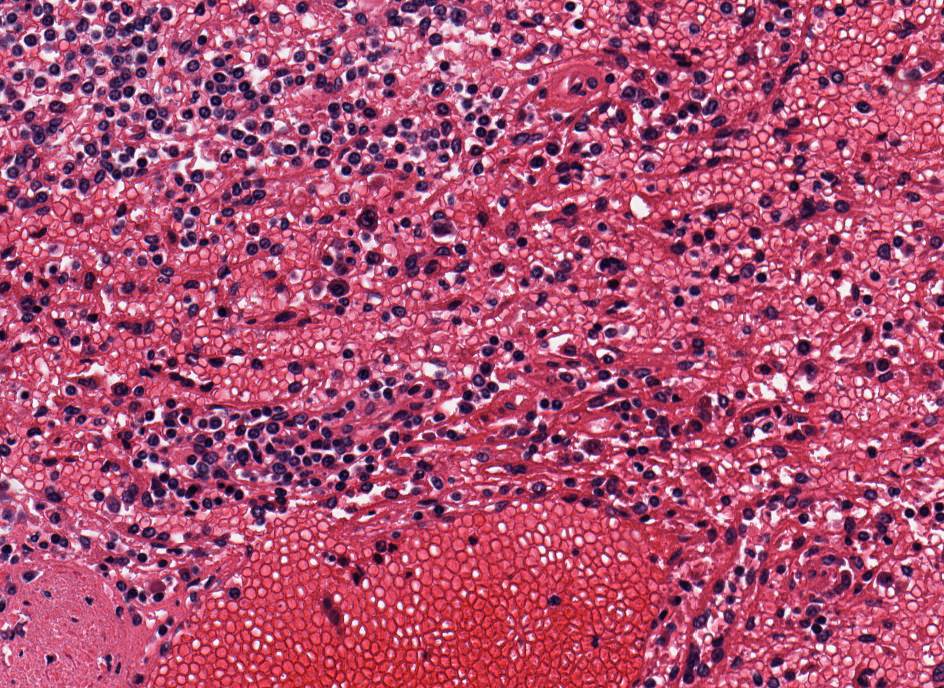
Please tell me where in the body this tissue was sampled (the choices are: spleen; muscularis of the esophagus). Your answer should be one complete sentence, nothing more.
The tissue shown was sampled from the spleen.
